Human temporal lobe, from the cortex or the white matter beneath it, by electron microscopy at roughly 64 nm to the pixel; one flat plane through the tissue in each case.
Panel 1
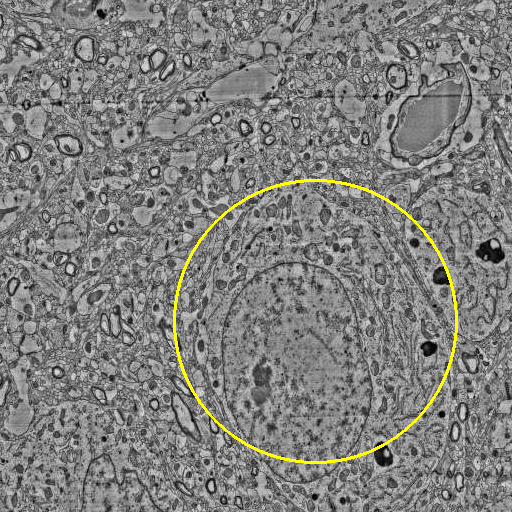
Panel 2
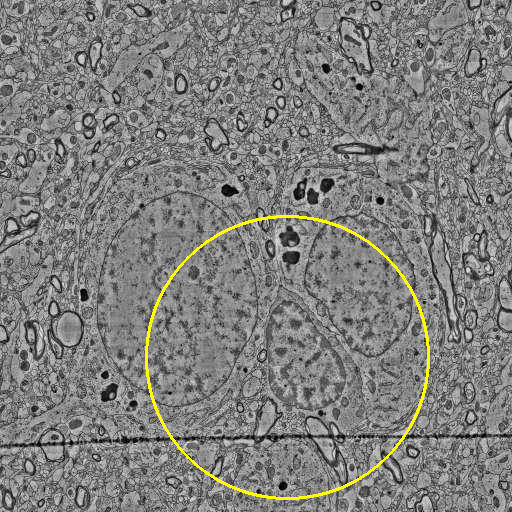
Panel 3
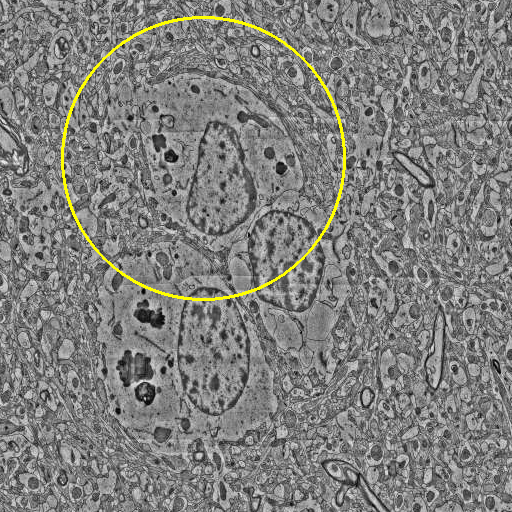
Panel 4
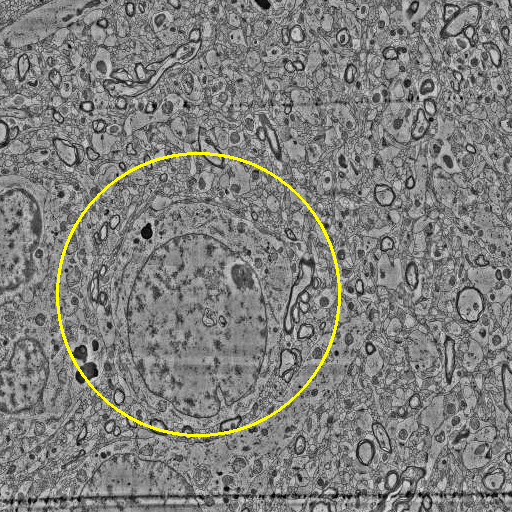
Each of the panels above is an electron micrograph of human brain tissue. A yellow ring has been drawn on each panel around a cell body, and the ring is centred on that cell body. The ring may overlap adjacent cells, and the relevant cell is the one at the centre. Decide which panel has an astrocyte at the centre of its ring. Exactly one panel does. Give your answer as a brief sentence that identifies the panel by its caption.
Panel 3 is the one with it at the centre of the ring.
